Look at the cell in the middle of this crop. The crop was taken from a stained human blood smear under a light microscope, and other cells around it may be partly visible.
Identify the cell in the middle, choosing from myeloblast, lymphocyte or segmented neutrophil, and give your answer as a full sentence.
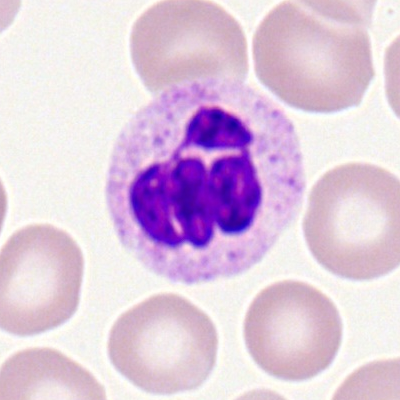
The cell that lies at the centre of the crop is a segmented neutrophil.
